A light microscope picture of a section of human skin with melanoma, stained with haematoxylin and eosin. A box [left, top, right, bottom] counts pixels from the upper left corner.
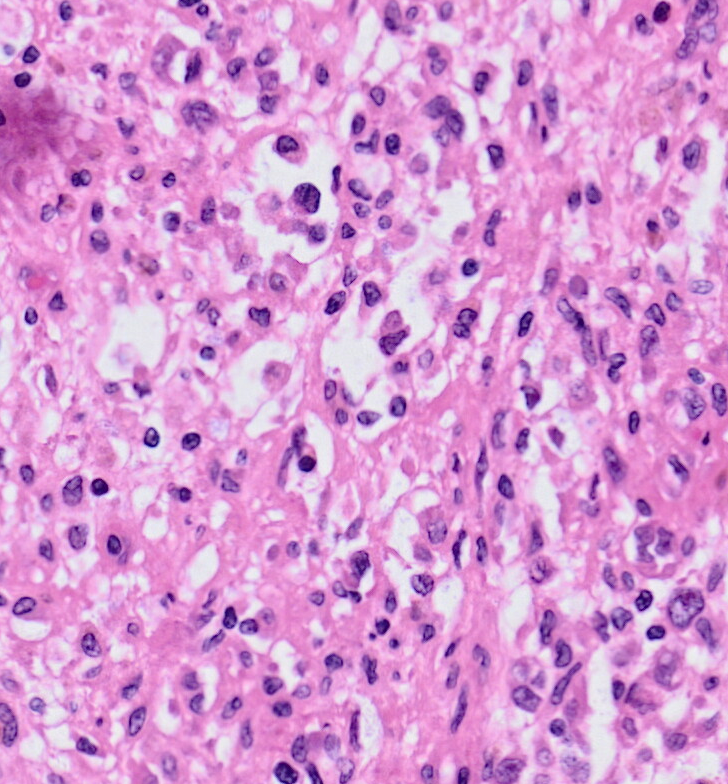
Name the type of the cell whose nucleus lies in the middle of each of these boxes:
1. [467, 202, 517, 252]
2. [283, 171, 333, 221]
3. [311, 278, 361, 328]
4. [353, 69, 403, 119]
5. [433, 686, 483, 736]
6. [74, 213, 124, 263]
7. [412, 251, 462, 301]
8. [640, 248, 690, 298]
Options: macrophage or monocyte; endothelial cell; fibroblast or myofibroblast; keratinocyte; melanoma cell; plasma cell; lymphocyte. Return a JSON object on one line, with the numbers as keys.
{"1": "macrophage or monocyte", "2": "melanoma cell", "3": "lymphocyte", "4": "macrophage or monocyte", "5": "fibroblast or myofibroblast", "6": "macrophage or monocyte", "7": "macrophage or monocyte", "8": "macrophage or monocyte"}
